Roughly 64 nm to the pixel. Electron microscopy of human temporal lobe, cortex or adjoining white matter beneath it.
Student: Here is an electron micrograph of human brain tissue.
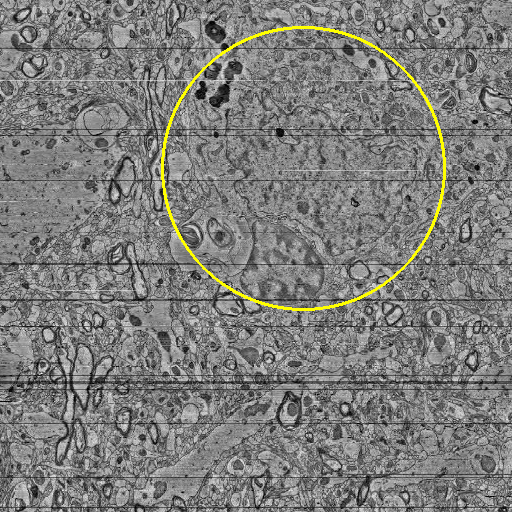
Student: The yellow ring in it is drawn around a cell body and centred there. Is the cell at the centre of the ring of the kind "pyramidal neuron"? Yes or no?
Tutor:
no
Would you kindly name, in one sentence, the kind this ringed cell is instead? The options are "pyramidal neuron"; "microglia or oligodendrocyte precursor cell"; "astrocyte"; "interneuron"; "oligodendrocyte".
The ring's central cell is an interneuron instead.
